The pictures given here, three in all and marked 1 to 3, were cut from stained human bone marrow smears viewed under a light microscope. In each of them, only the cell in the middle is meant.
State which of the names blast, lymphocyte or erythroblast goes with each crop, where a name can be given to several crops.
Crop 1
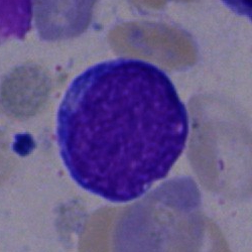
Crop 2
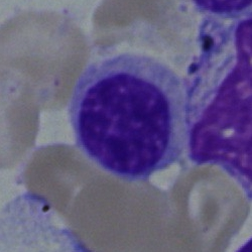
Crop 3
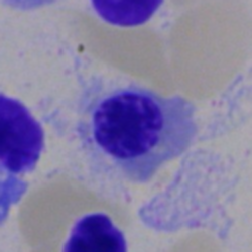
1: blast
2: lymphocyte
3: erythroblast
